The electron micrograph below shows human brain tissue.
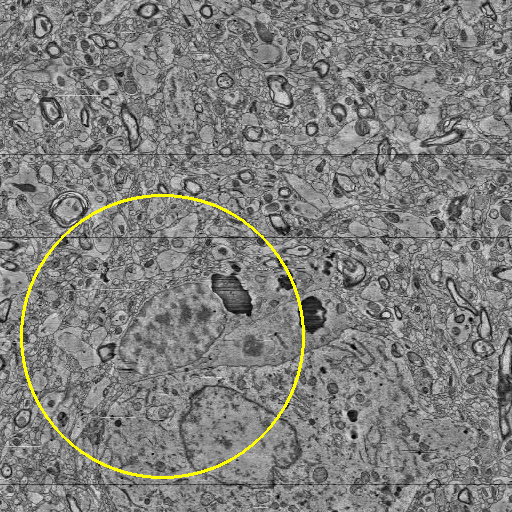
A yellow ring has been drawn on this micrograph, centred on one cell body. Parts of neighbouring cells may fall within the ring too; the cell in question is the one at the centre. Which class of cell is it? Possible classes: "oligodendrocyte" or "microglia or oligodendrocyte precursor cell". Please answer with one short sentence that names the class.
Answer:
In the centre of the ring sits an oligodendrocyte.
